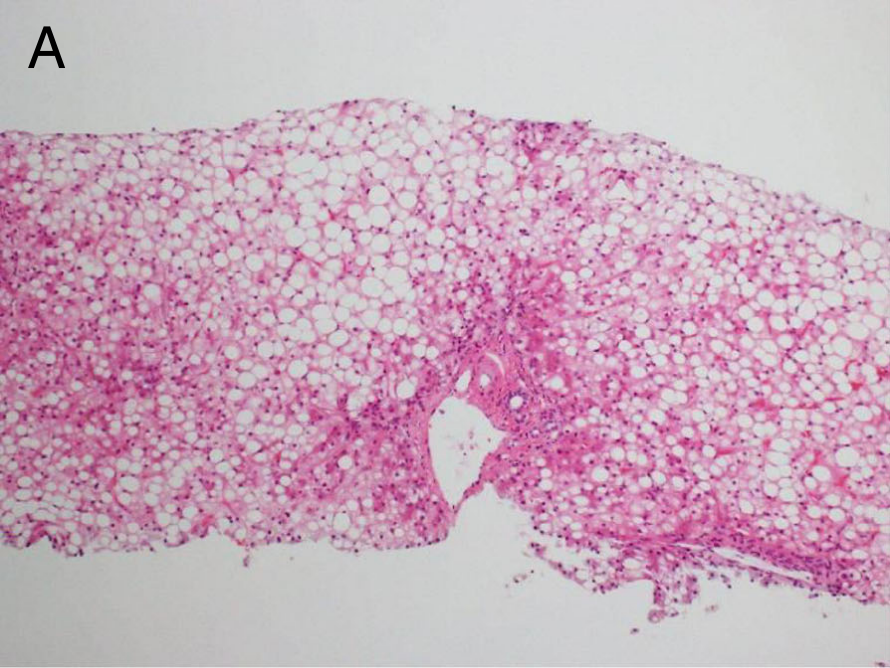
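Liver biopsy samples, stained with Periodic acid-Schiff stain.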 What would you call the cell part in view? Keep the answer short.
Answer: Lipid droplets.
